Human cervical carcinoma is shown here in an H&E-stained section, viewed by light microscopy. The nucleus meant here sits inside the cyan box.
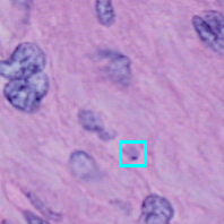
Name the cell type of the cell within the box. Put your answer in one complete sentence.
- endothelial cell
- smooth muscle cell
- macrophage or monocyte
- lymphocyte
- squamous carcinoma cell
The cell within the box is a smooth muscle cell.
